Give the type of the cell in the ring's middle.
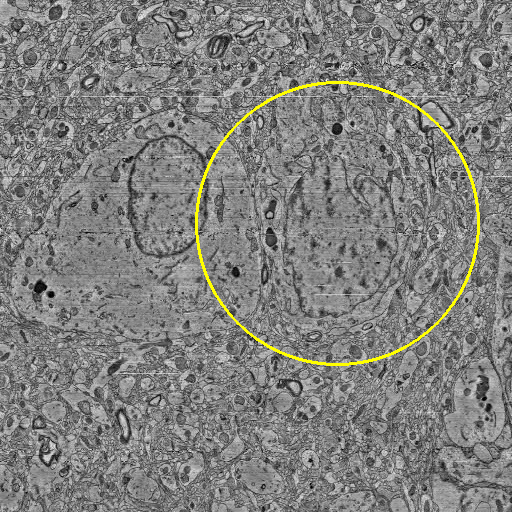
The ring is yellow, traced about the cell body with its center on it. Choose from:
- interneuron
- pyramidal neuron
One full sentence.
Here, an interneuron is the cell lying at the center of the yellow ring.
